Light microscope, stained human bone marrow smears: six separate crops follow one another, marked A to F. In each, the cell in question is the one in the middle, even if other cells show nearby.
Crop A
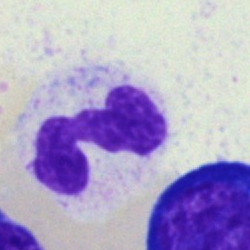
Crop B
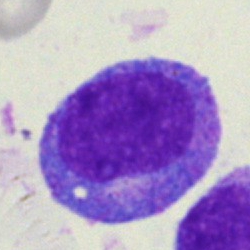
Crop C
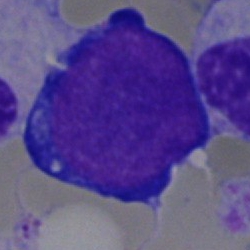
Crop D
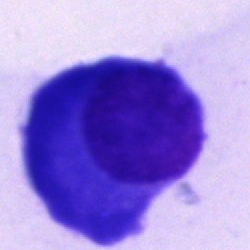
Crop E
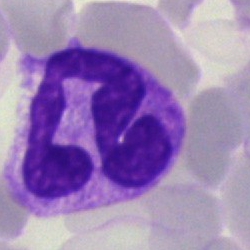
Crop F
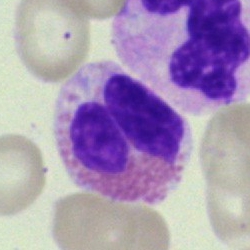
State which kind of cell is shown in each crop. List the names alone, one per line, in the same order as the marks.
segmented neutrophil
promyelocyte
proerythroblast
plasma cell
segmented neutrophil
eosinophil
